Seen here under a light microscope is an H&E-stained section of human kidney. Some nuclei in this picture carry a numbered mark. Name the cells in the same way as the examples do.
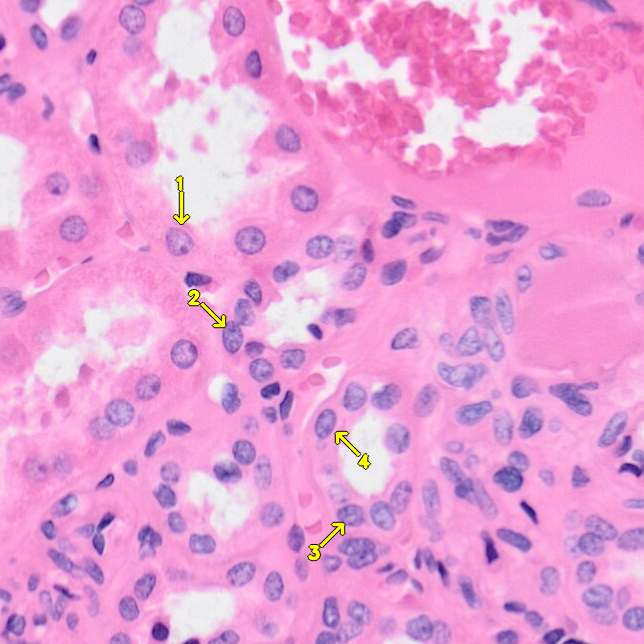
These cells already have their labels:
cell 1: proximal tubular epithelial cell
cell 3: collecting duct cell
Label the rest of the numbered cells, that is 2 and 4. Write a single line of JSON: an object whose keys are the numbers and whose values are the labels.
{"2": "collecting duct cell", "4": "collecting duct cell"}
